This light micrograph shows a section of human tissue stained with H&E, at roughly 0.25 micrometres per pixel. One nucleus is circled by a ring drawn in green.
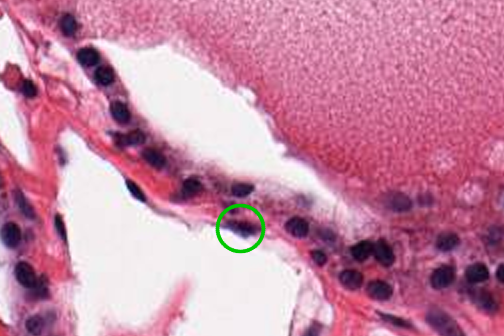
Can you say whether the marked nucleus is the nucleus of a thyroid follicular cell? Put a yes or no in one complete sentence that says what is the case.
No, the nucleus that is marked belongs to a supporting cell rather than to a thyroid follicular cell.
